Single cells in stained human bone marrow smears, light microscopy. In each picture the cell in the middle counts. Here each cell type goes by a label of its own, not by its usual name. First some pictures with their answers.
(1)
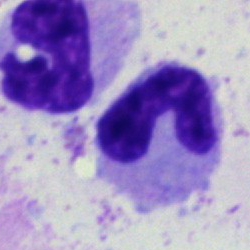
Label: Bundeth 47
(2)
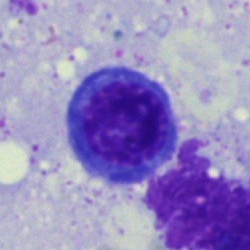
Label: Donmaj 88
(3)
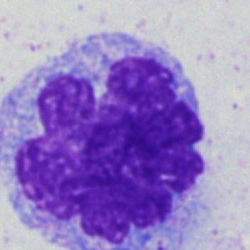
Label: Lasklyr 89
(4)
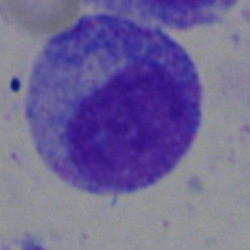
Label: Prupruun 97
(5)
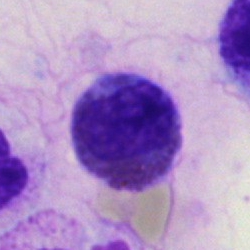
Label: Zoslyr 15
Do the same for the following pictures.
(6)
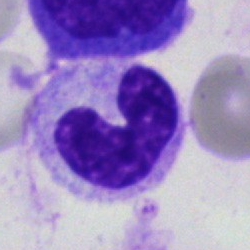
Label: Bundeth 47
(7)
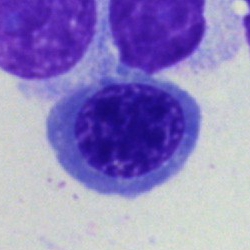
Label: Donmaj 88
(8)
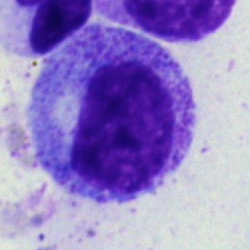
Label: Prupruun 97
